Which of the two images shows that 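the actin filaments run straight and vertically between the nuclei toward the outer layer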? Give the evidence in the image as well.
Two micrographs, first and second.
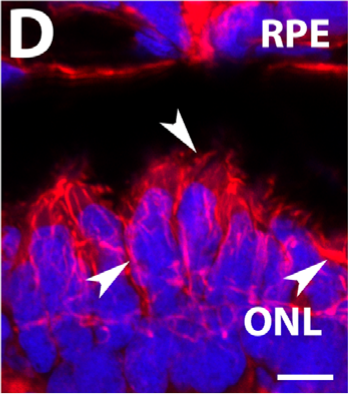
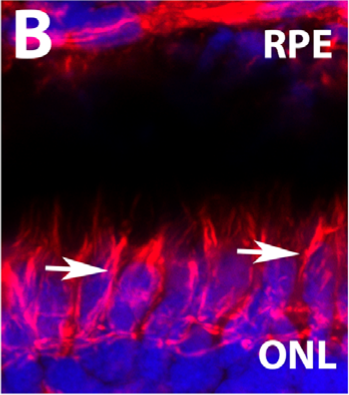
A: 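The second image. First image: red filaments form a tangled meshwork around rounded nuclei and irregular tufts at the top. Second image: red filaments form distinct straight vertical strands rising from the nuclear layer.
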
